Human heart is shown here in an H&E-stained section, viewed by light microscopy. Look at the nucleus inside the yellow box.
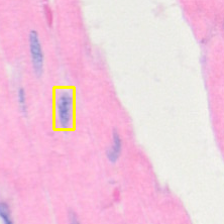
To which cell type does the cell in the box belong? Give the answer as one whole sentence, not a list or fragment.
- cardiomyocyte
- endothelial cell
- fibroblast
In the tissue under study, the cell in the box is an endothelial cell.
